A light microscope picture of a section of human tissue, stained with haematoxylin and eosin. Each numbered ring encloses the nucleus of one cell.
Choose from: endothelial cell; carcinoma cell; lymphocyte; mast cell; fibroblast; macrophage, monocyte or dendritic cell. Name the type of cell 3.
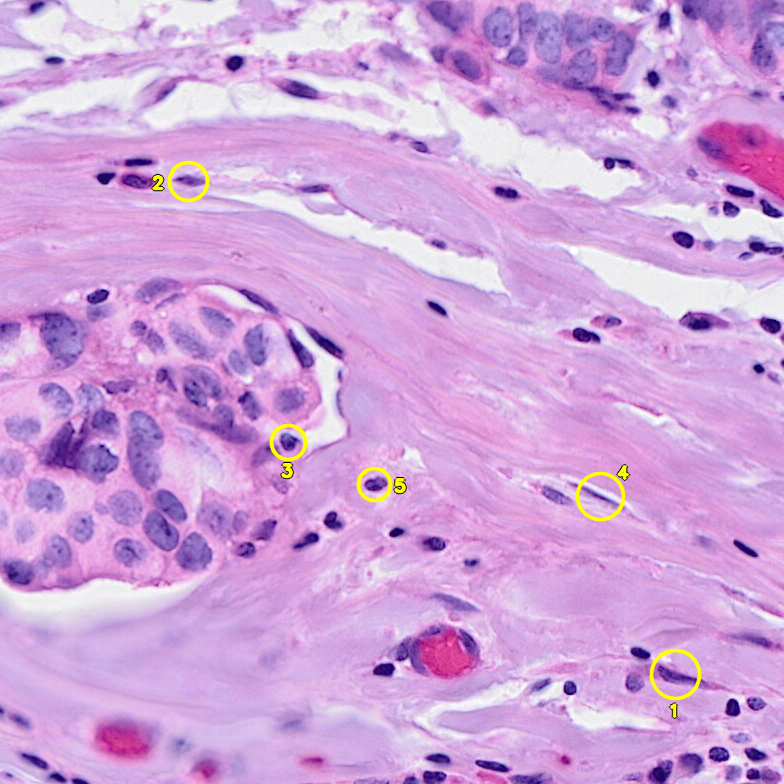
lymphocyte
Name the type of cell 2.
fibroblast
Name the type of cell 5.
lymphocyte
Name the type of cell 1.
fibroblast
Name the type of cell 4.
fibroblast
